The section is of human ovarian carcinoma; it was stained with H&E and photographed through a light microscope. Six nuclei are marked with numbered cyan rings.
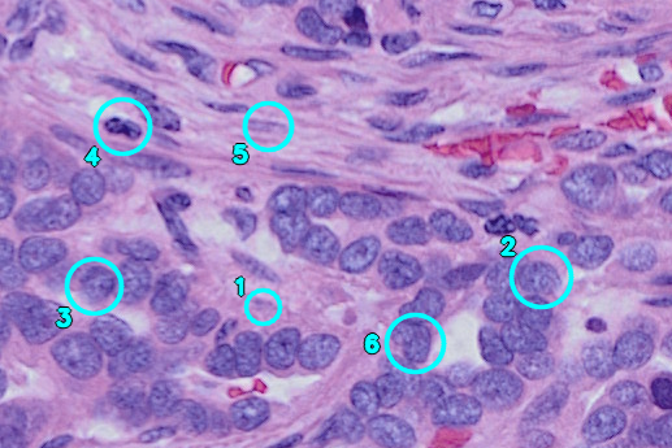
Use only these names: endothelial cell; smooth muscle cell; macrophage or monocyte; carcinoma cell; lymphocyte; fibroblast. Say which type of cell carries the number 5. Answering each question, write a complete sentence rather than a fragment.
Cell 5, as marked in the section, is a fibroblast.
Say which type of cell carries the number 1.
The cell marked with number 1 is a fibroblast.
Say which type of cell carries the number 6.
The marked cell with the number 6 is recognised as a carcinoma cell.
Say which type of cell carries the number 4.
Cell 4, as marked in the section, is a lymphocyte.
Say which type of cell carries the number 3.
Cell 3 should be recorded as a carcinoma cell.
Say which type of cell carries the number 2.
In this section, the cell numbered 2 is a carcinoma cell.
